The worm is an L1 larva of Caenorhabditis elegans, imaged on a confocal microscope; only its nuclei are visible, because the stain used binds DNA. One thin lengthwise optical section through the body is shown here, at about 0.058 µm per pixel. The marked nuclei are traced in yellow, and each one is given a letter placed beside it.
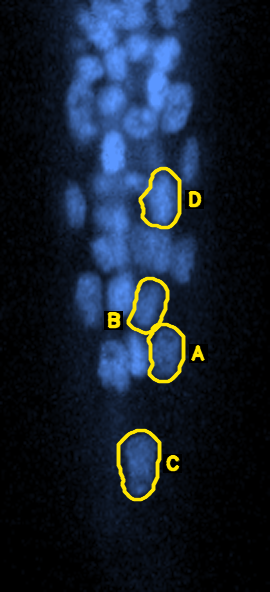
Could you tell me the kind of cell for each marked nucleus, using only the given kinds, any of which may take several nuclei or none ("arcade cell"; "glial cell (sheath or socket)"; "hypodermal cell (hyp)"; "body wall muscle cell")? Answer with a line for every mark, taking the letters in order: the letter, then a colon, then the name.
A: body wall muscle cell
B: hypodermal cell (hyp)
C: hypodermal cell (hyp)
D: arcade cell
